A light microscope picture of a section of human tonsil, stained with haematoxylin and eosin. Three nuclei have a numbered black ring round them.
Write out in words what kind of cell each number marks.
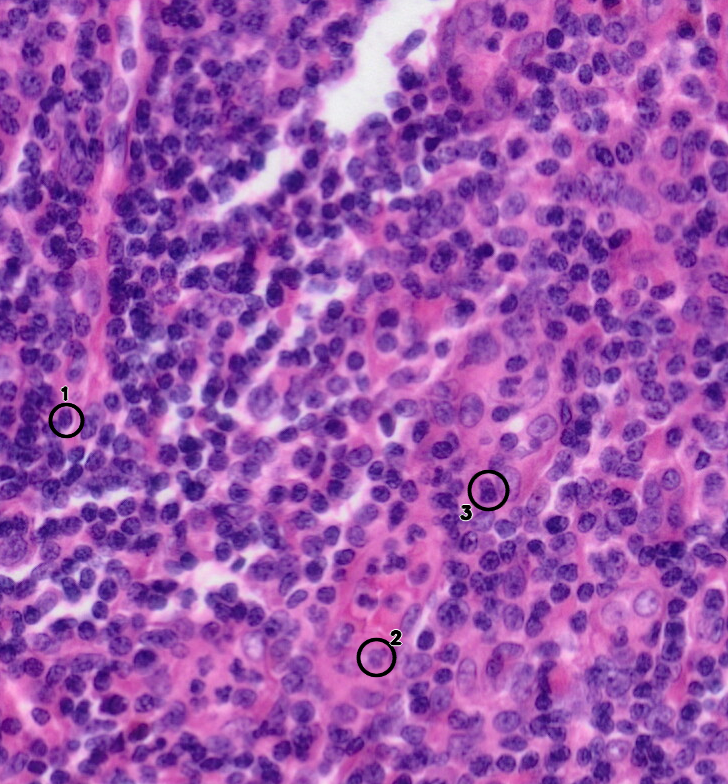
Cell 1 is a small lymphocyte. Cells 2 and 3 are endothelial cells.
